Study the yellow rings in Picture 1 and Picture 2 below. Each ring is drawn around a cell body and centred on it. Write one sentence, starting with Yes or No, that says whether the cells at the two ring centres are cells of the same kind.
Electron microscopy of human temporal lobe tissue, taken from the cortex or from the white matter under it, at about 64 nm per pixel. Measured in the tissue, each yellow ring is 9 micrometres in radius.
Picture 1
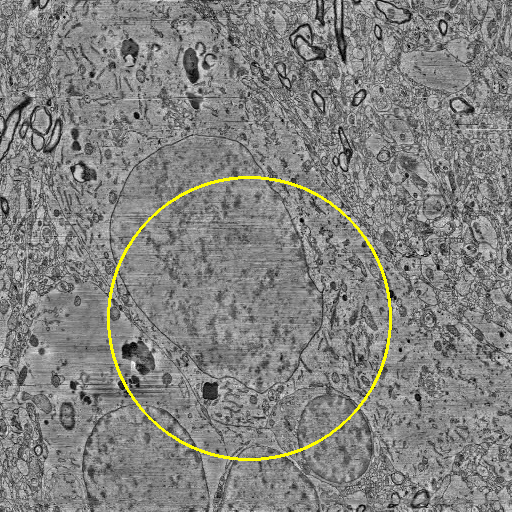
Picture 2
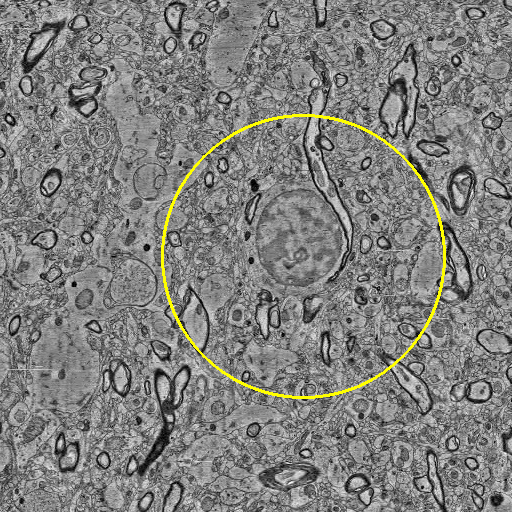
No, the cells at the ring centres are of two kinds.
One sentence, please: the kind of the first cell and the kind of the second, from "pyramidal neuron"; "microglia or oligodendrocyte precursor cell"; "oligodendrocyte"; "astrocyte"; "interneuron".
The ring in the first picture surrounds a pyramidal neuron, and the ring in the second surrounds an oligodendrocyte.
